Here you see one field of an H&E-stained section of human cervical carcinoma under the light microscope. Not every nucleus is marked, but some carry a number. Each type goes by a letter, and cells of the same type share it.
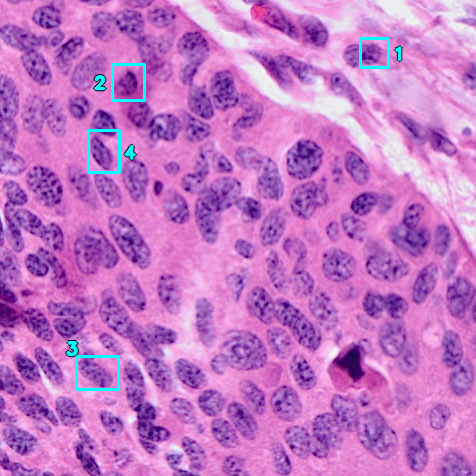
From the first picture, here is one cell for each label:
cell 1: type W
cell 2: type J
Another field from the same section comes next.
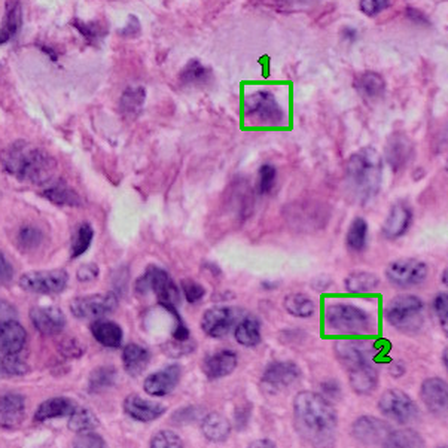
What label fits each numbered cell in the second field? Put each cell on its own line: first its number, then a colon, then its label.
1: type W
2: type J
